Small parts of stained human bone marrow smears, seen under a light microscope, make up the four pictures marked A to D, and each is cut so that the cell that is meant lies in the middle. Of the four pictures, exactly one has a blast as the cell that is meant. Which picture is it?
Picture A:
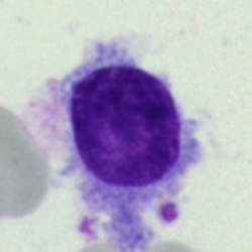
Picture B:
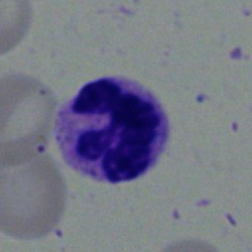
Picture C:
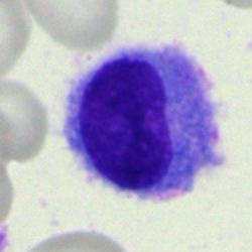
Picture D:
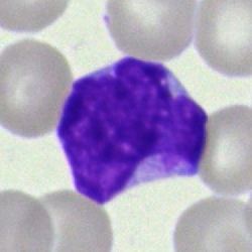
D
